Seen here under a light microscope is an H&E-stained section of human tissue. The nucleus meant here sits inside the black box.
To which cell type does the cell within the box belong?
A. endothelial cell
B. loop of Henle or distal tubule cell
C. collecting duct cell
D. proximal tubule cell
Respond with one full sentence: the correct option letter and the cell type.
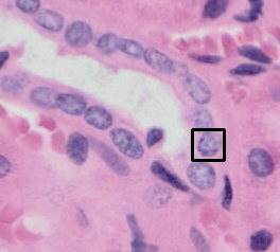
Option C is correct in stating that the cell within the box is a collecting duct cell.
